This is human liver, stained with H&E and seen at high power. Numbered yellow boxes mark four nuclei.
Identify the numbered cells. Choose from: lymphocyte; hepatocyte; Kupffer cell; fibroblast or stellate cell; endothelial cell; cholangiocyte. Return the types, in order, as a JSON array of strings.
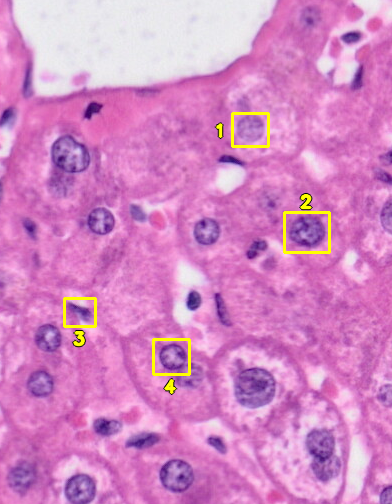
["hepatocyte", "hepatocyte", "endothelial cell", "hepatocyte"]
